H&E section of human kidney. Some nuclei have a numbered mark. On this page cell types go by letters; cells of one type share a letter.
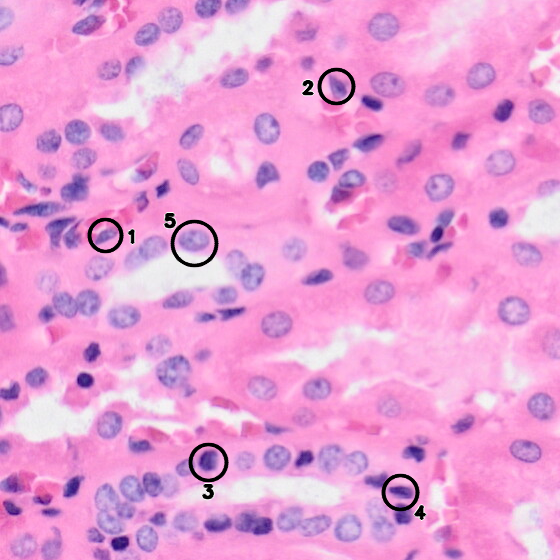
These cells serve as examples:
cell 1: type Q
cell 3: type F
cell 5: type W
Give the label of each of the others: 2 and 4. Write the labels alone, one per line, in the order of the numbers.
type Q
type F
